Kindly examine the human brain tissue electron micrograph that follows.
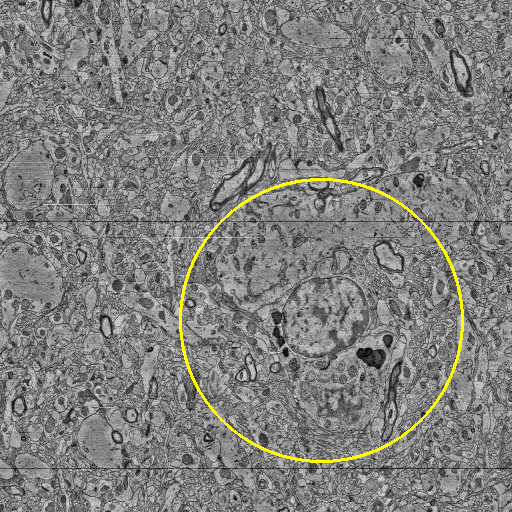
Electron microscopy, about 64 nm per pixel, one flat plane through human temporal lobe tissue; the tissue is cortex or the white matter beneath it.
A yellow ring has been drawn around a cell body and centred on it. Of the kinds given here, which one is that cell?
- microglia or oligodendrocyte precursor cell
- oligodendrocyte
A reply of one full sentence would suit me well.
The micrograph's ringed cell, the one at the ring's centre, is a microglial cell or oligodendrocyte precursor cell.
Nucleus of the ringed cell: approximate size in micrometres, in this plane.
Roughly 5 micrometres across for the nucleus, in this plane.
